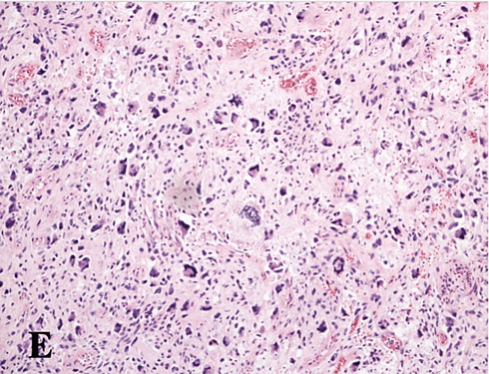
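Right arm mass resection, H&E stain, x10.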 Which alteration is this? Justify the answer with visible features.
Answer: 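Nuclei vary greatly in size and shape. Many nuclei are large, dark and irregular, some multilobed. On this evidence: highly atypical nuclei.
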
